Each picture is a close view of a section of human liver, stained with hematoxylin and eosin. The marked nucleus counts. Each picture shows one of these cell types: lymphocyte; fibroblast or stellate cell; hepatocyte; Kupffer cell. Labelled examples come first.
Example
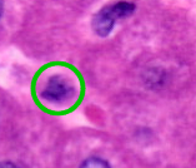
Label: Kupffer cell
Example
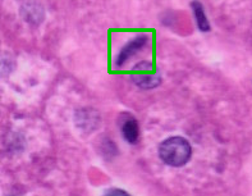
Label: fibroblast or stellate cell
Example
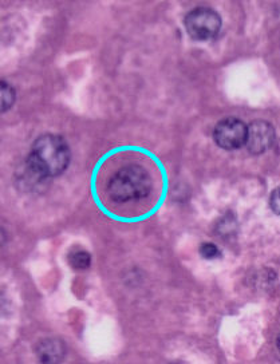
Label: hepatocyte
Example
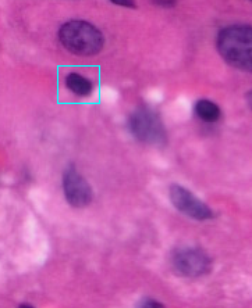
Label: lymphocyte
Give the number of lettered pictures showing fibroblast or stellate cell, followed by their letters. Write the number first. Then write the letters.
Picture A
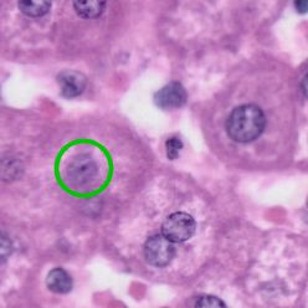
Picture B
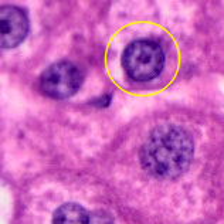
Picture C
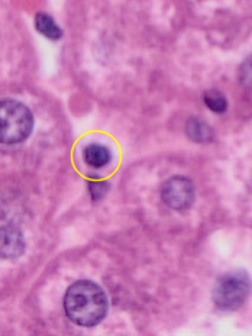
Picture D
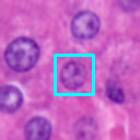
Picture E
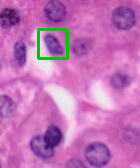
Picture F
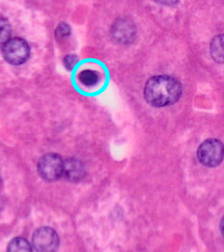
0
